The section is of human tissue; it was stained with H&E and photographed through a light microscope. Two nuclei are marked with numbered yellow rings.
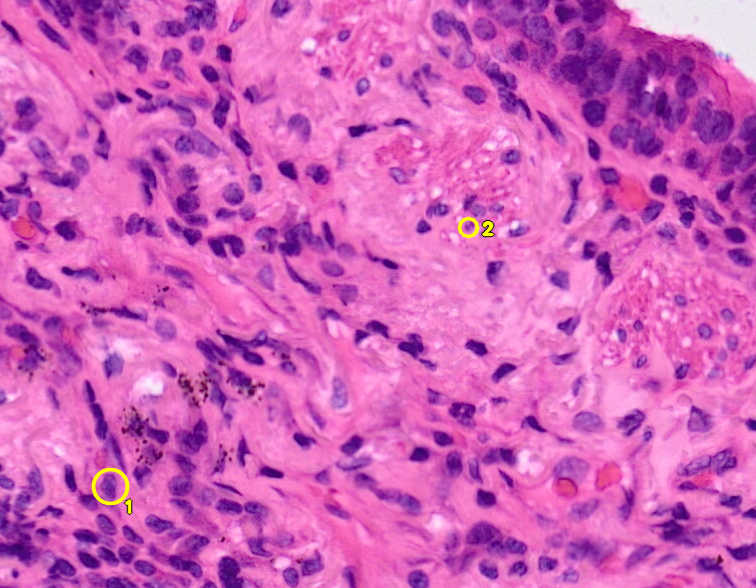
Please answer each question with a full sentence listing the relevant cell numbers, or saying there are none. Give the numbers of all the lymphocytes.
The nucleus labelled 1 alone belongs to a lymphocyte; the other marked nuclei do not.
